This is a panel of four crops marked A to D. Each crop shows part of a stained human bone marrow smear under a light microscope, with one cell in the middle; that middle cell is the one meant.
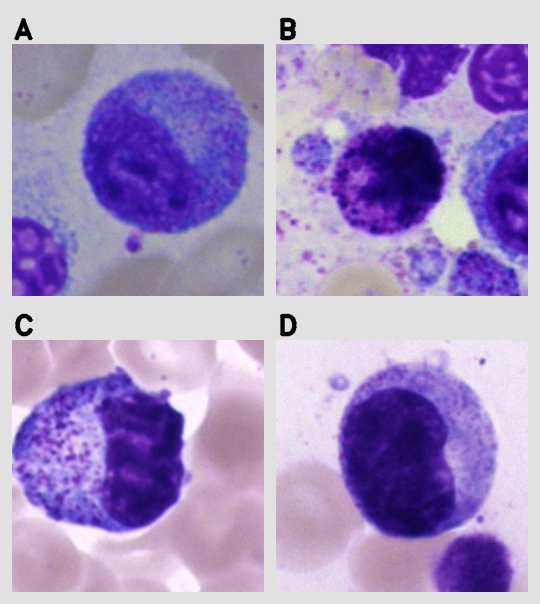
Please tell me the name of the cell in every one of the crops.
A: promyelocyte
B: basophil
C: promyelocyte
D: promyelocyte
